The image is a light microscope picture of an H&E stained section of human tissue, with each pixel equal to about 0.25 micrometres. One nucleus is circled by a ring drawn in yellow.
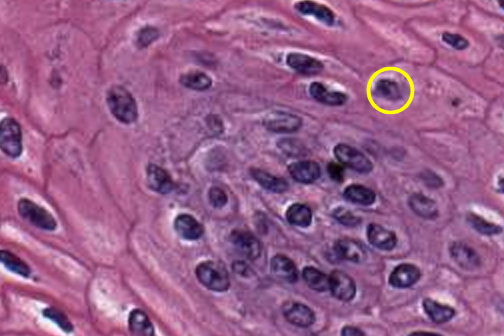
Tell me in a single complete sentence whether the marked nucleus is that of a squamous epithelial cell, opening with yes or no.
Yes, it is within a squamous epithelial cell that the marked nucleus lies.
